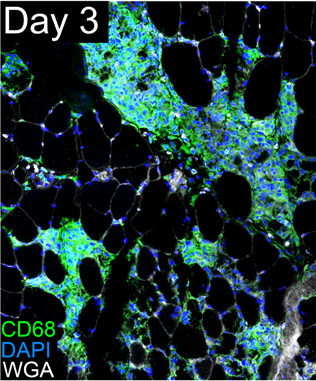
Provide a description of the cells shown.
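The myofibers appear as dark, unstained profiles of varying size, many rounded, outlined by thin white borders. Where the infiltrate is densest the normal mosaic of fibers is lost, while at the edges fibers remain closely packed.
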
